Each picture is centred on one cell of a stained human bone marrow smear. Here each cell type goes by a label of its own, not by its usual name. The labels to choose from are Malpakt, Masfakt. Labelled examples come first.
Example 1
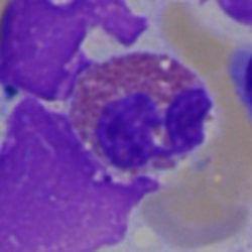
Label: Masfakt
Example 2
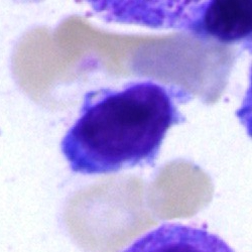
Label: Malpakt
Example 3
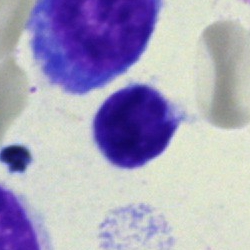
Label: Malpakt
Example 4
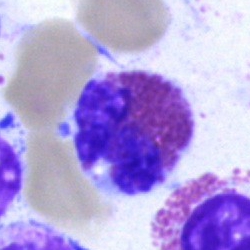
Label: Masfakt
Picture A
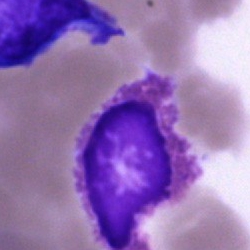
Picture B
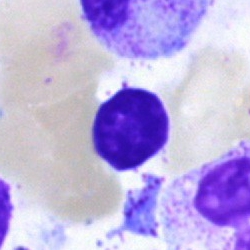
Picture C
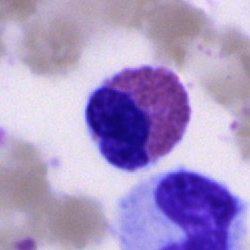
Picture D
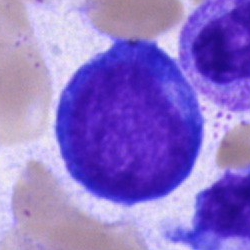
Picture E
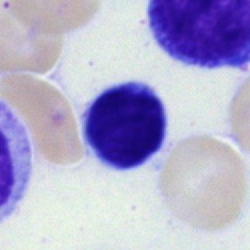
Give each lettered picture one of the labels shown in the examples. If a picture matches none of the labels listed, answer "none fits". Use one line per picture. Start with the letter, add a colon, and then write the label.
A: Masfakt
B: Malpakt
C: Masfakt
D: none fits
E: Malpakt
